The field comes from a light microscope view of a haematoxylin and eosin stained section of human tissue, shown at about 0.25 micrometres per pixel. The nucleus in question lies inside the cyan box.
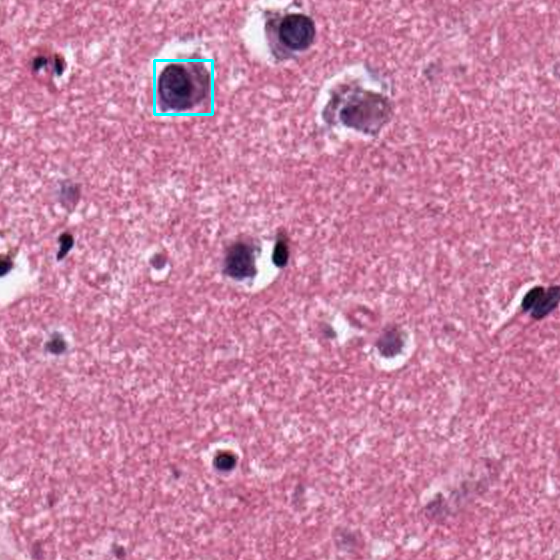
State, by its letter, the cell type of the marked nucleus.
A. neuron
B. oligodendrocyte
A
